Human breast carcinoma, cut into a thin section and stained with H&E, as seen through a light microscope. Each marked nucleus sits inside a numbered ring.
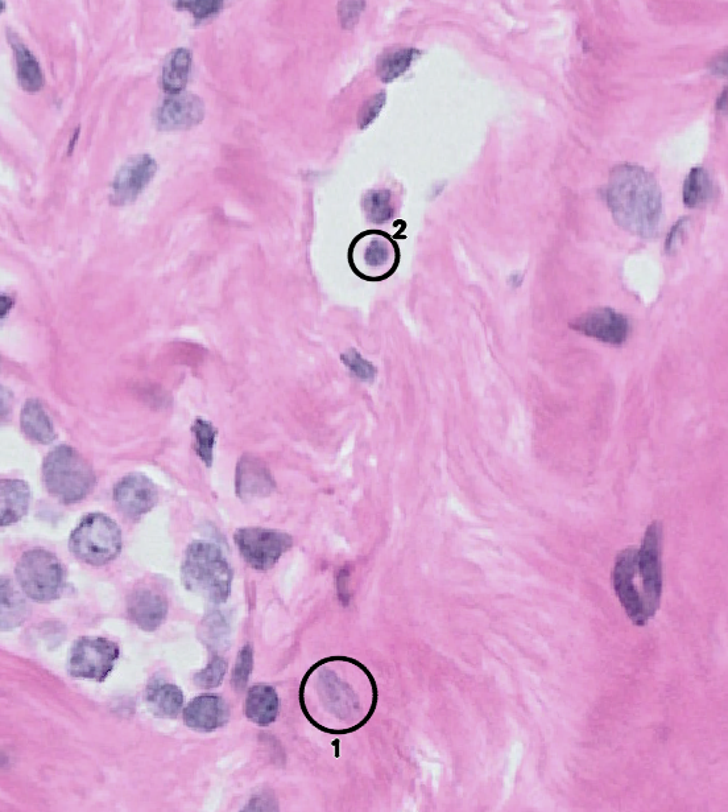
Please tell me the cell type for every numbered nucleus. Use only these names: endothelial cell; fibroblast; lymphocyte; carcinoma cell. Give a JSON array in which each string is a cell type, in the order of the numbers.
["fibroblast", "lymphocyte"]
